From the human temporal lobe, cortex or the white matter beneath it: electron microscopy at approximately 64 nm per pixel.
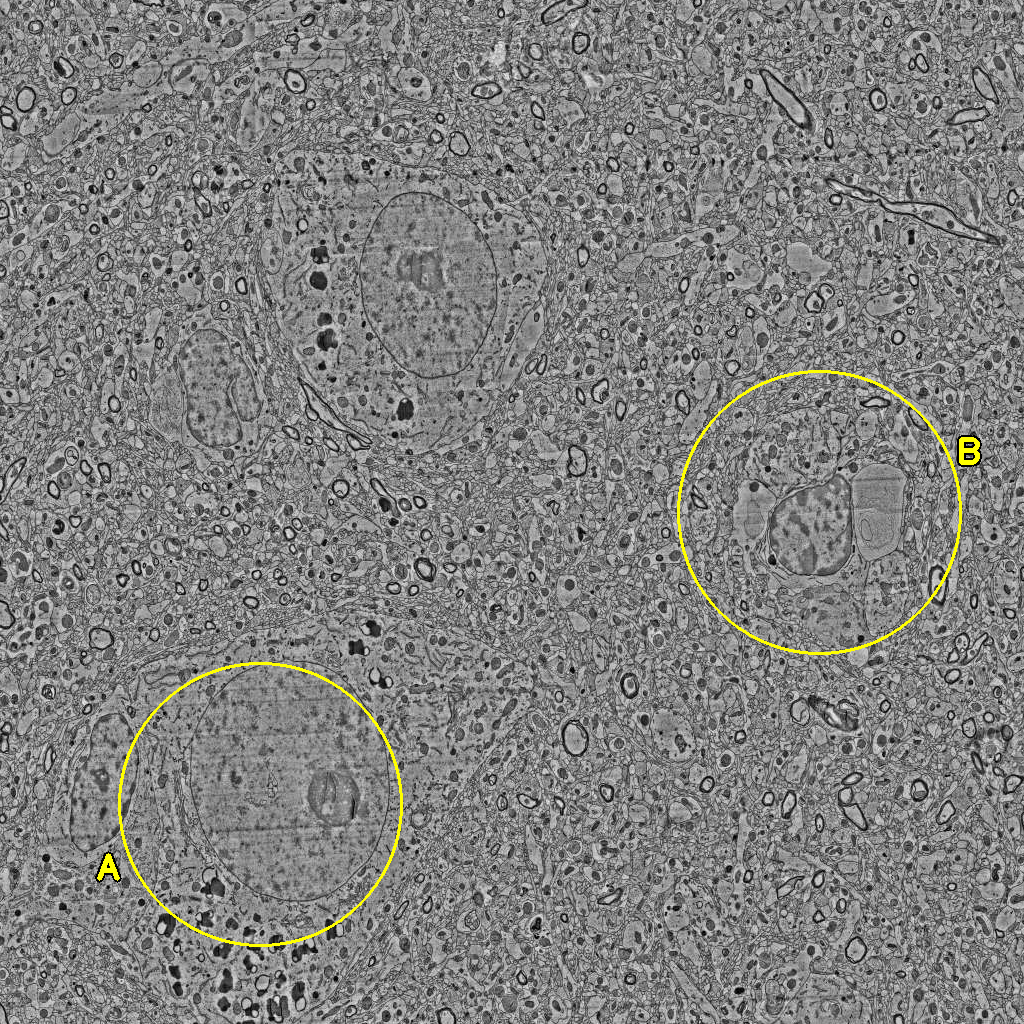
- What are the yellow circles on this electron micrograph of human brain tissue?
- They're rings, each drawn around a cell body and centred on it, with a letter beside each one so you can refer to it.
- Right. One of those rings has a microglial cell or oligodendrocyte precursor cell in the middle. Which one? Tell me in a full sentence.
It's ring B.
